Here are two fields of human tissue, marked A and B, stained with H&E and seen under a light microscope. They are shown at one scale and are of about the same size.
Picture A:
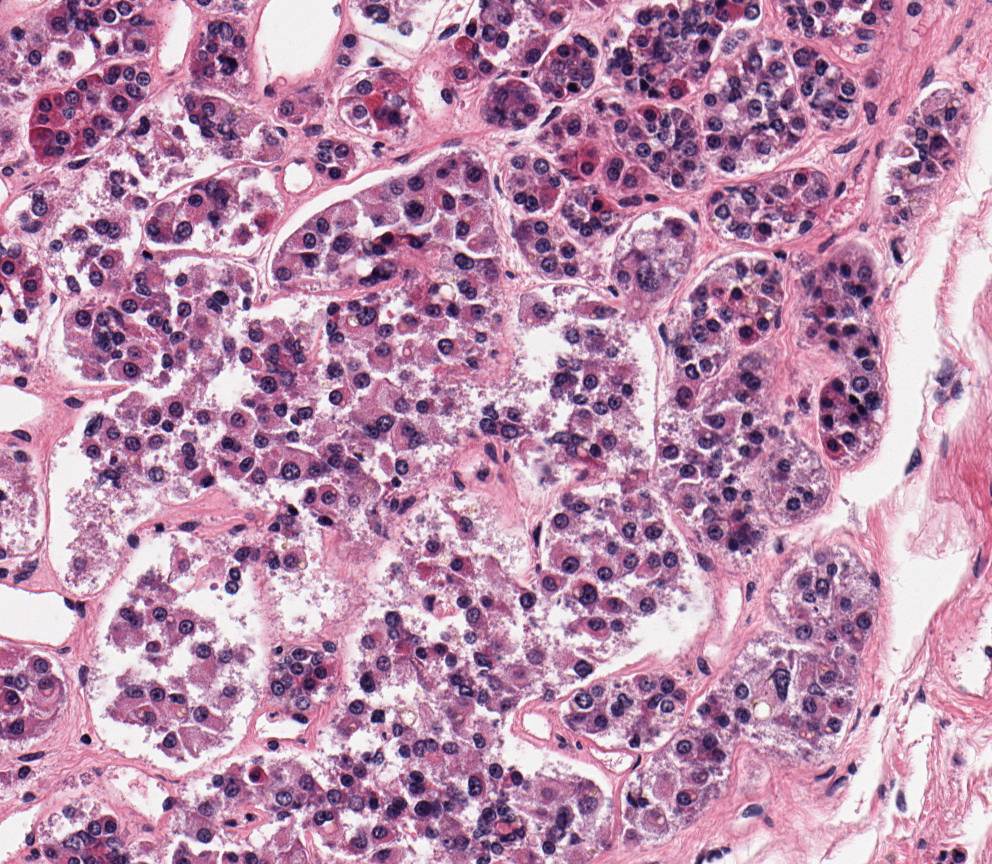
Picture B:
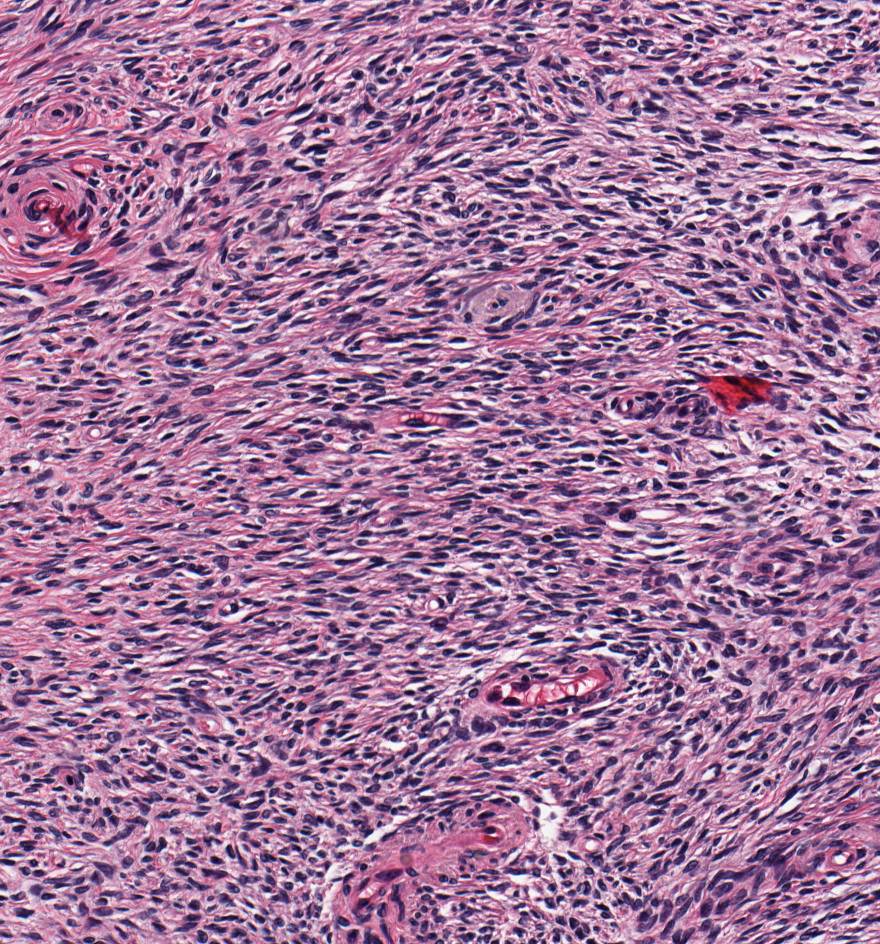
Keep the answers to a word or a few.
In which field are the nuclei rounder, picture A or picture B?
A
